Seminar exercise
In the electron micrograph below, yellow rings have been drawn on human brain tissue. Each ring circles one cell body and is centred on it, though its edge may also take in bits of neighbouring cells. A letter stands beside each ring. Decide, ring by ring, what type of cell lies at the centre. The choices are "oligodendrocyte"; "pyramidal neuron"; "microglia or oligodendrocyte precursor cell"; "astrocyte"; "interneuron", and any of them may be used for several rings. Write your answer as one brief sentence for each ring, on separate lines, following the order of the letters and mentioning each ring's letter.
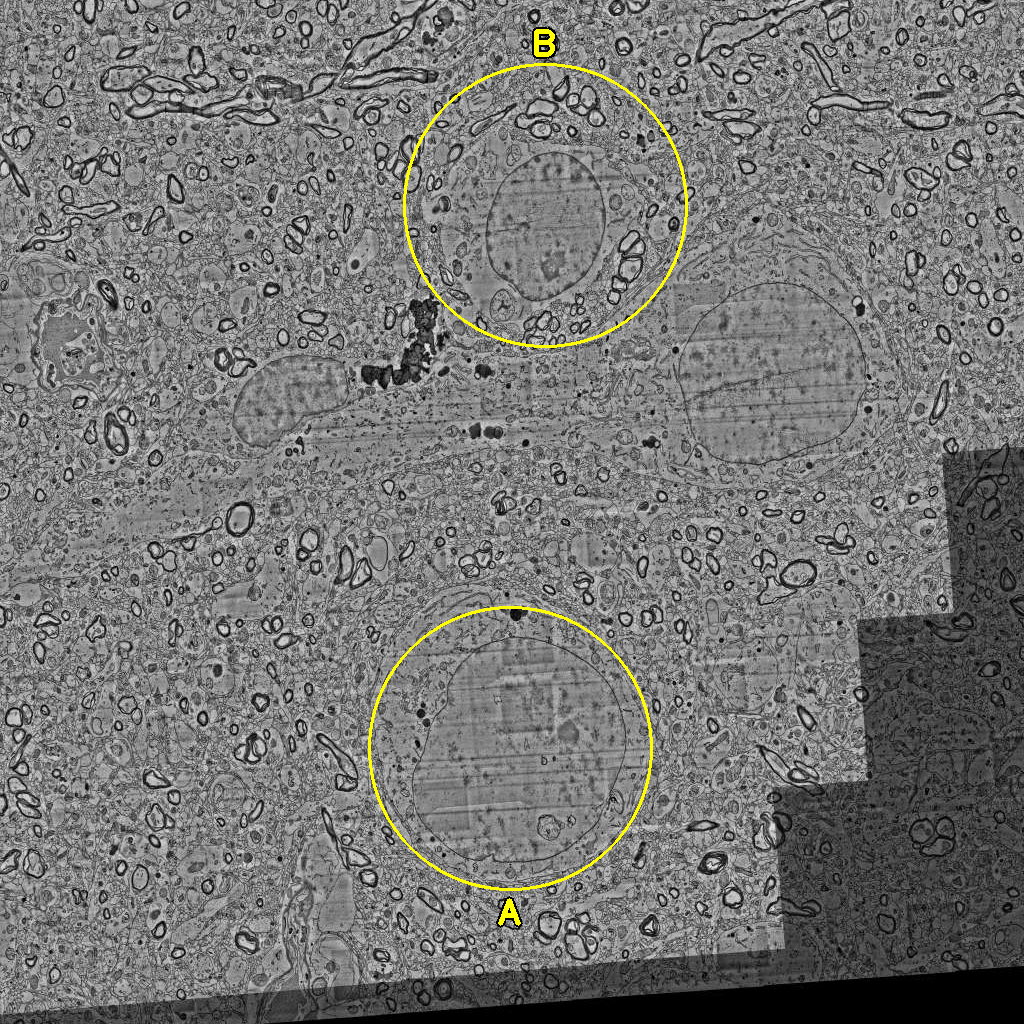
The cell in the middle of ring A is a pyramidal neuron.
The cell in the middle of ring B is an astrocyte.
